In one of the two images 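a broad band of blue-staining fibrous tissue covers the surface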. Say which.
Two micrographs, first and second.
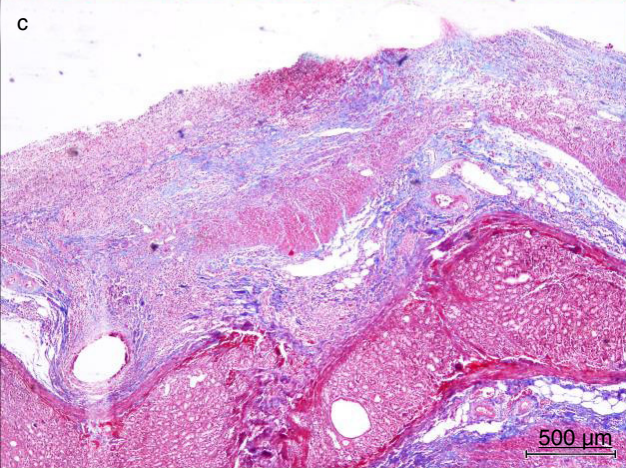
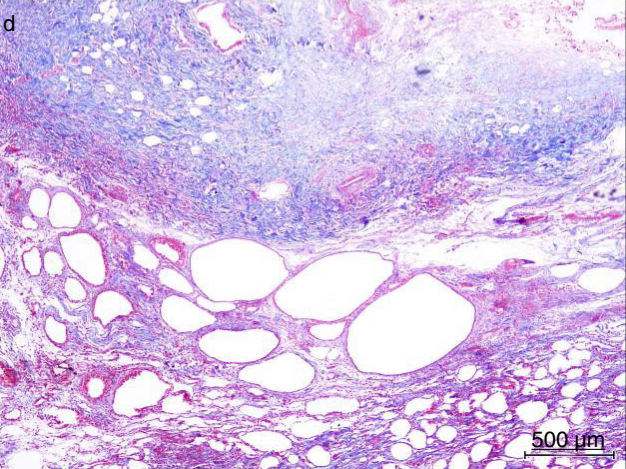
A: The second image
